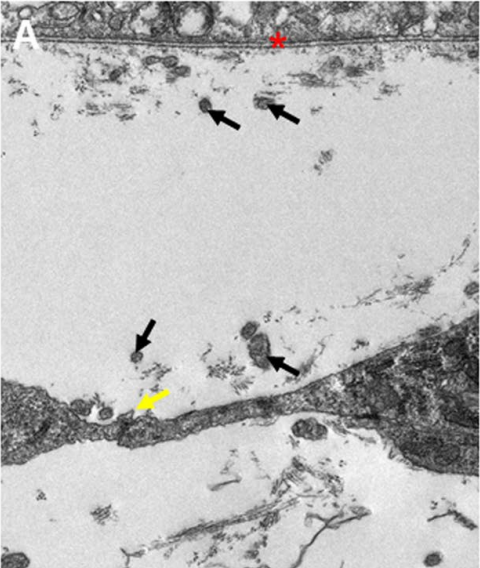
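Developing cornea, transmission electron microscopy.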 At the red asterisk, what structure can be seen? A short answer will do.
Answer: basal lamina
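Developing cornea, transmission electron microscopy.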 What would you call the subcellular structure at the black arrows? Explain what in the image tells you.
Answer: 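Cell projections. The arrows point to small round membrane-bound profiles with dense content lying in the pale matrix. Fine fibrils lie close around these profiles.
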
